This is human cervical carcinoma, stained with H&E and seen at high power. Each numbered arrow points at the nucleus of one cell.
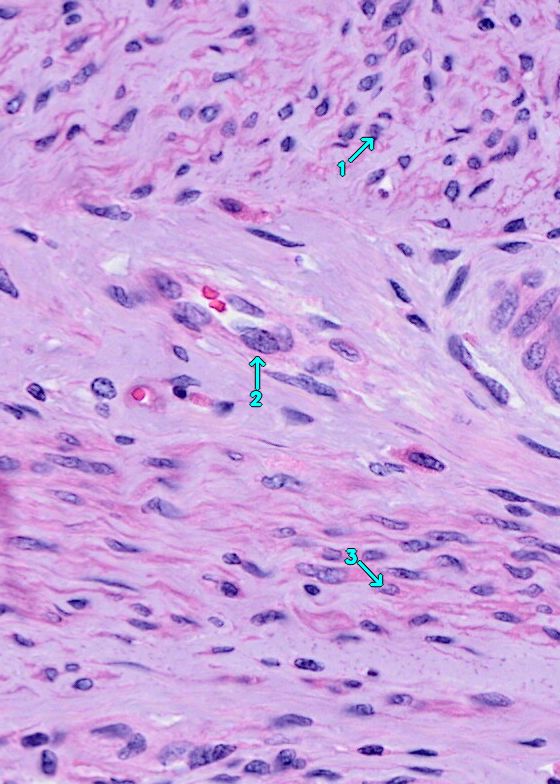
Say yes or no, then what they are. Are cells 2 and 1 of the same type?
No, cell 2 is an endothelial cell and cell 1 is a smooth muscle cell.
